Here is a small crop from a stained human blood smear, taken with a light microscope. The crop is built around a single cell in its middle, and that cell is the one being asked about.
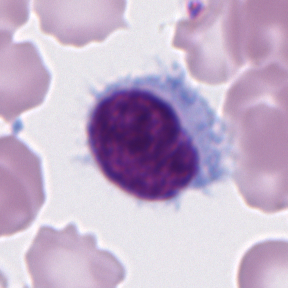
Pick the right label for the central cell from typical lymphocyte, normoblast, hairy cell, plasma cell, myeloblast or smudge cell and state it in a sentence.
Answering briefly, the cell in the middle is a hairy cell.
